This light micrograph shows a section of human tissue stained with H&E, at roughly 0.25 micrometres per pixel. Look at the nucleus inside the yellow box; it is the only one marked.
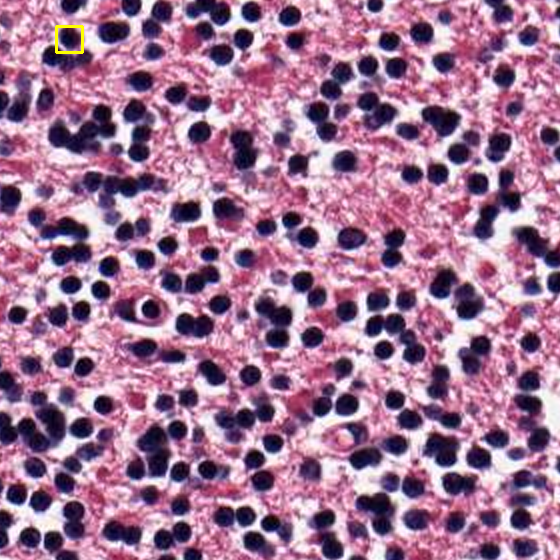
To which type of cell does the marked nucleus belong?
cerebellar granule cell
